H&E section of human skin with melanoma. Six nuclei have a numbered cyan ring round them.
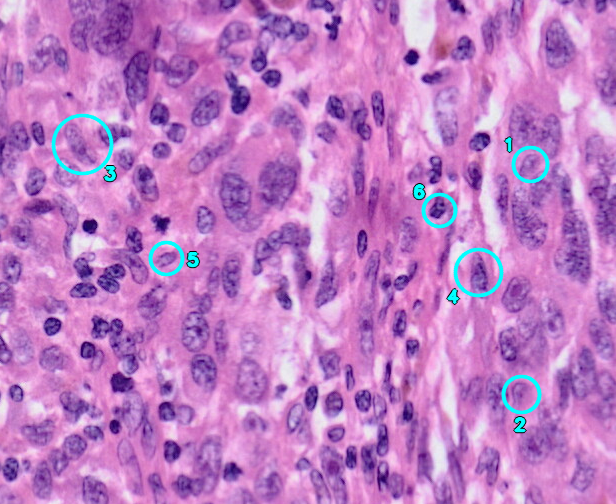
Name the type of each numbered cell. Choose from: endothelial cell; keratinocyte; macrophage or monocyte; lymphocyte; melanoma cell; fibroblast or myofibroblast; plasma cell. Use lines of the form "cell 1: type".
cell 1: melanoma cell
cell 2: melanoma cell
cell 3: melanoma cell
cell 4: melanoma cell
cell 5: macrophage or monocyte
cell 6: lymphocyte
